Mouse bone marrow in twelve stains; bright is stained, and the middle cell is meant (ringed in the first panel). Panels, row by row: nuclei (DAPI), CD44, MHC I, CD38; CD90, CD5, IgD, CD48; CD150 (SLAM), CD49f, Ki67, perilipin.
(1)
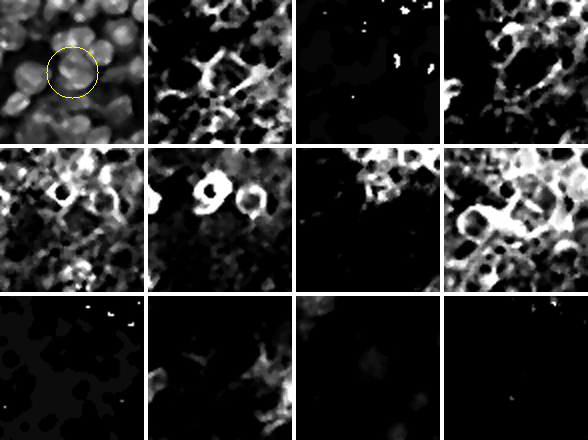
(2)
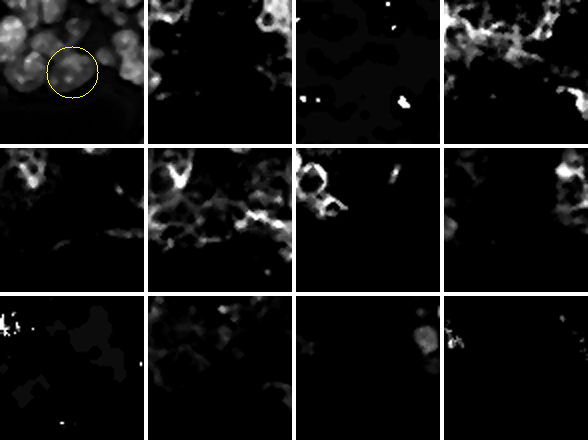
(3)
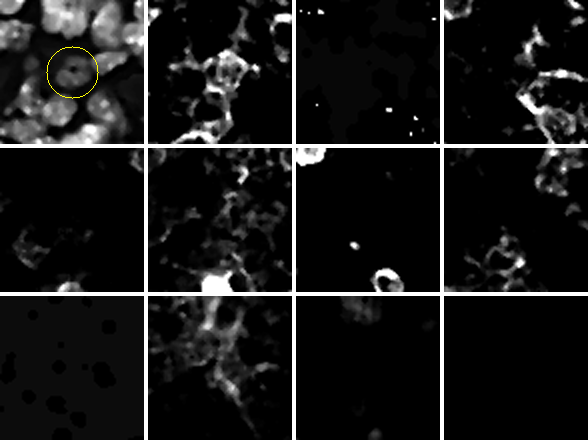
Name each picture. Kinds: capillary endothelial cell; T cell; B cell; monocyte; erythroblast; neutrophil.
Picture 1: monocyte
Picture 2: capillary endothelial cell
Picture 3: neutrophil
